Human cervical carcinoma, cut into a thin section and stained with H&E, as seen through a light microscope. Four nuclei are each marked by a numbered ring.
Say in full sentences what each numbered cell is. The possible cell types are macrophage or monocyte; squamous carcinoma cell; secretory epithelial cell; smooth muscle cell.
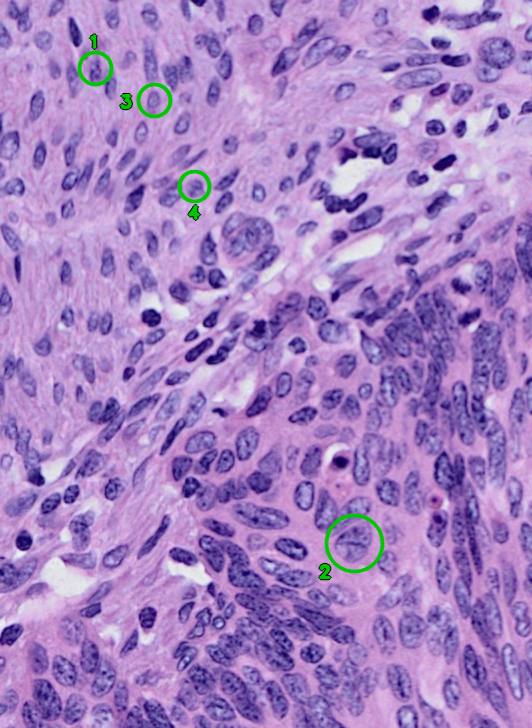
Cell 1 is a smooth muscle cell, cell 2 is a squamous carcinoma cell, cell 3 is a smooth muscle cell and cell 4 is a smooth muscle cell.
